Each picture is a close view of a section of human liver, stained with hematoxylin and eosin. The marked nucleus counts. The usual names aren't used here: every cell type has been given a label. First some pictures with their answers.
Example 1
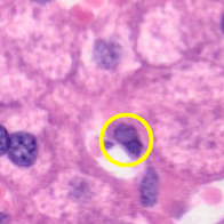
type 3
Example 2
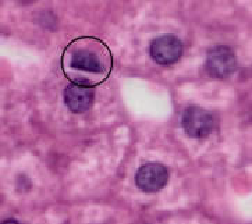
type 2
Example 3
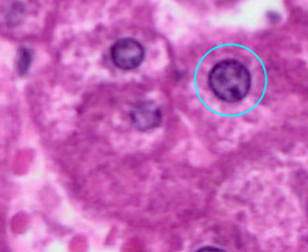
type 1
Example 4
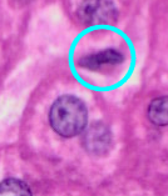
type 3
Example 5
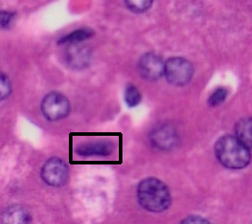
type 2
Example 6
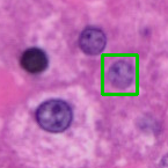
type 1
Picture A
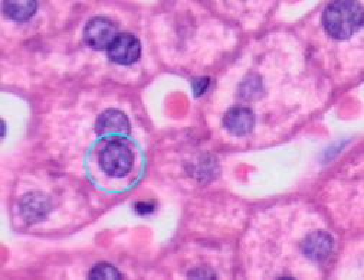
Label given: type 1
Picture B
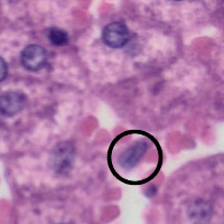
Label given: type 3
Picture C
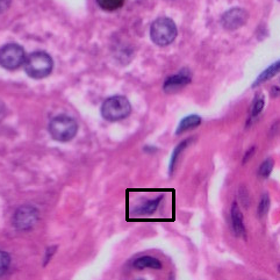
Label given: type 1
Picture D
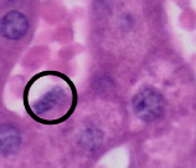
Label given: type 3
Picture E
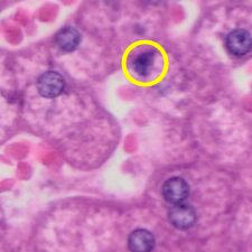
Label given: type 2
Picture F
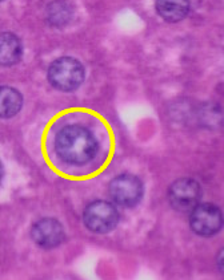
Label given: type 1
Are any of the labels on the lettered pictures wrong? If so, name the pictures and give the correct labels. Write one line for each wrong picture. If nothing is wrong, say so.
C should be type 2, not type 1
